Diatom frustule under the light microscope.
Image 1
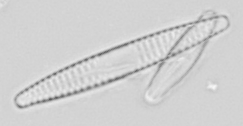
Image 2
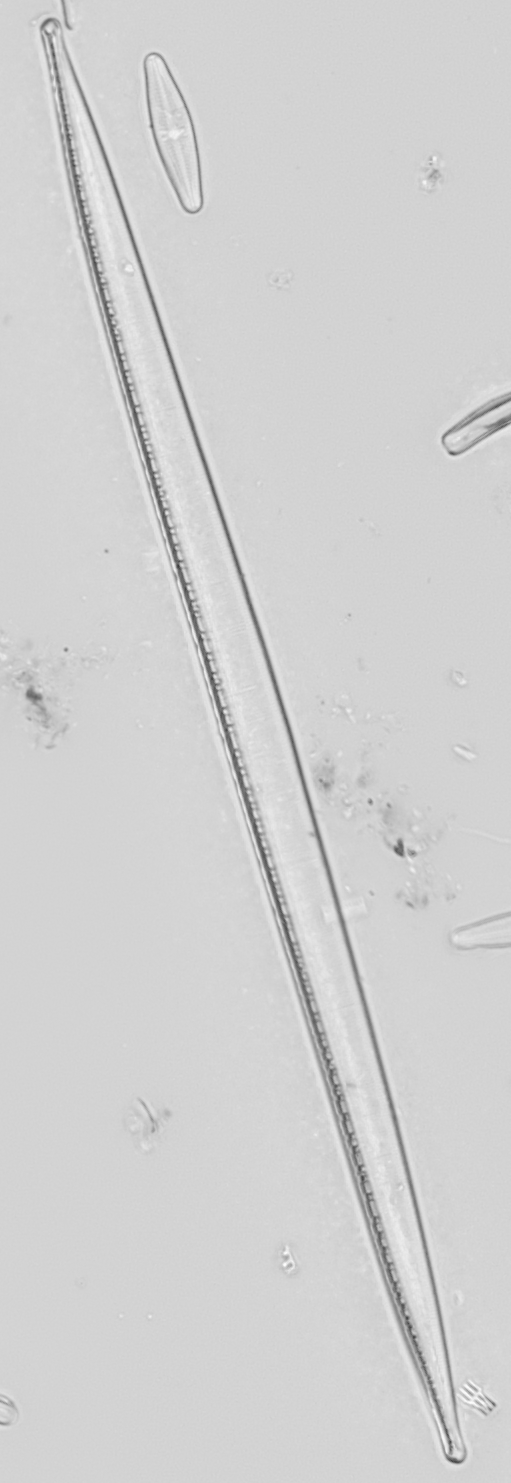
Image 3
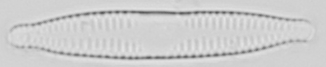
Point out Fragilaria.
That is picture 3.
